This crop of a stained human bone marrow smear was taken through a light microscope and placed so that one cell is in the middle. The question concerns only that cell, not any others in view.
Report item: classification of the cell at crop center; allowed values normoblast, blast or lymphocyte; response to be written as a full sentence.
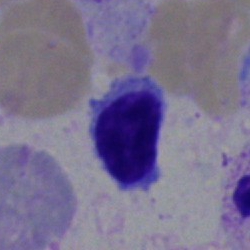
By type, the central cell of the crop is a lymphocyte.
